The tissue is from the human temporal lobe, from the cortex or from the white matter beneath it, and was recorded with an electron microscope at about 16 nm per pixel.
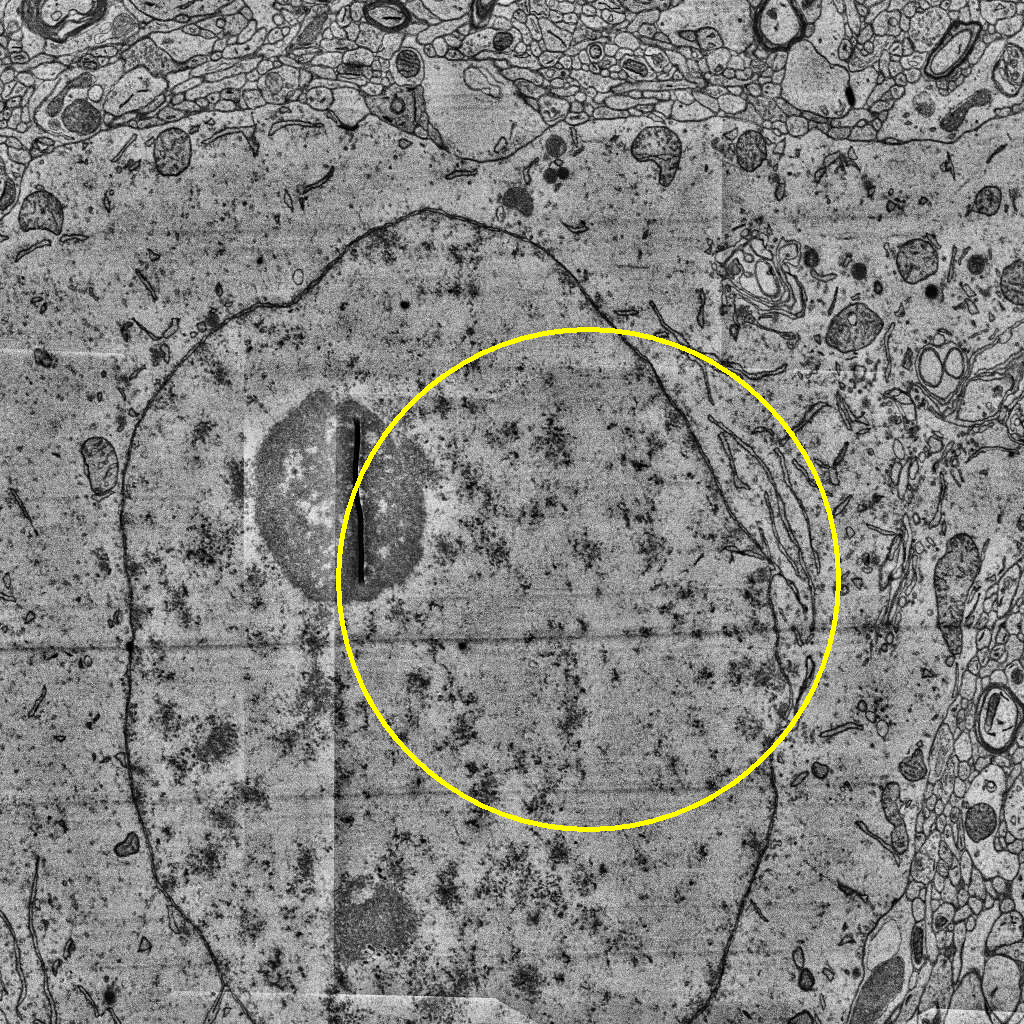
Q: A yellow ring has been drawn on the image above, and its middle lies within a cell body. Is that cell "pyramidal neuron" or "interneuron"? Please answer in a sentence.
The ring's middle lies in the cell body of a pyramidal neuron.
